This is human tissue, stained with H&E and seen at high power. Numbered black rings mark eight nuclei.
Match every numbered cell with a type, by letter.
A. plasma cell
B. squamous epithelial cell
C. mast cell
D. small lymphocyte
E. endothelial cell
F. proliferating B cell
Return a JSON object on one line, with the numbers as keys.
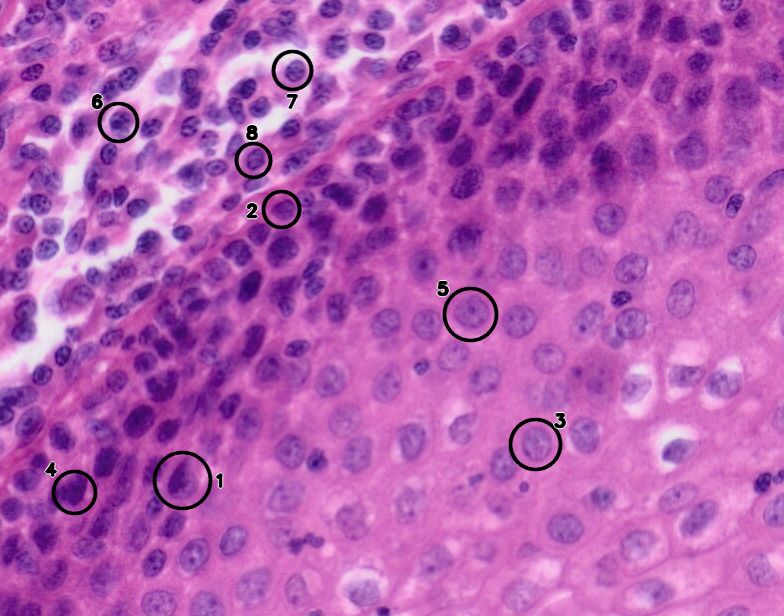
{"1": "B", "2": "B", "3": "B", "4": "B", "5": "B", "6": "A", "7": "A", "8": "A"}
